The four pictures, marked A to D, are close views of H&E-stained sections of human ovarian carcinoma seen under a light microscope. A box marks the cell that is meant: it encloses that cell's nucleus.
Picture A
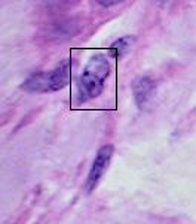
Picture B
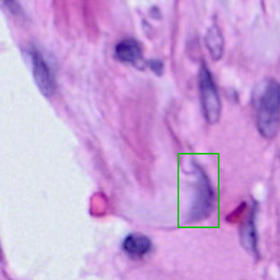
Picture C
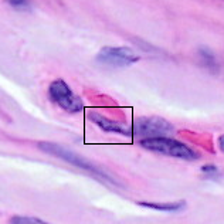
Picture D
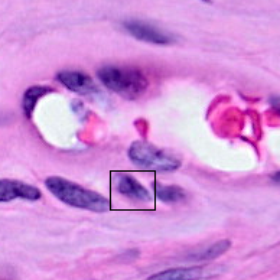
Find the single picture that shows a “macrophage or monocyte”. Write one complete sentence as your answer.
Picture A is the one that shows the “macrophage or monocyte”.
